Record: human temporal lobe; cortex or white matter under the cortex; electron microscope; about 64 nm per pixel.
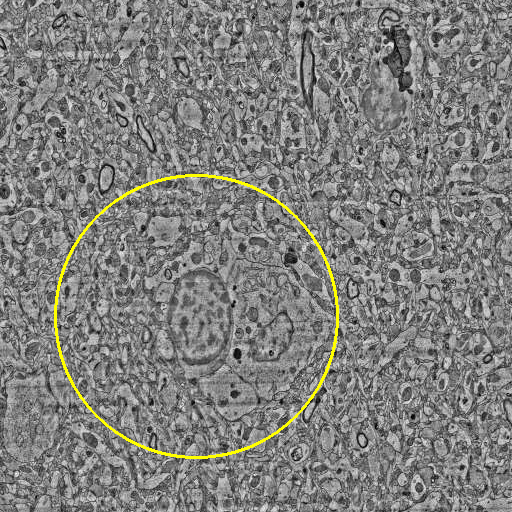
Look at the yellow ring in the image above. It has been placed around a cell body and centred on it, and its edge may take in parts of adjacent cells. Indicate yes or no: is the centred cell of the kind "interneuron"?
no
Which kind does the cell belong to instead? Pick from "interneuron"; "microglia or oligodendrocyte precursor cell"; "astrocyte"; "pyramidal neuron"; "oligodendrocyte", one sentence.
Instead, the ringed cell here is an oligodendrocyte.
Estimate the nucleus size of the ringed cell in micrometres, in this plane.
About 6 by 4 micrometers for the nucleus, in this plane.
